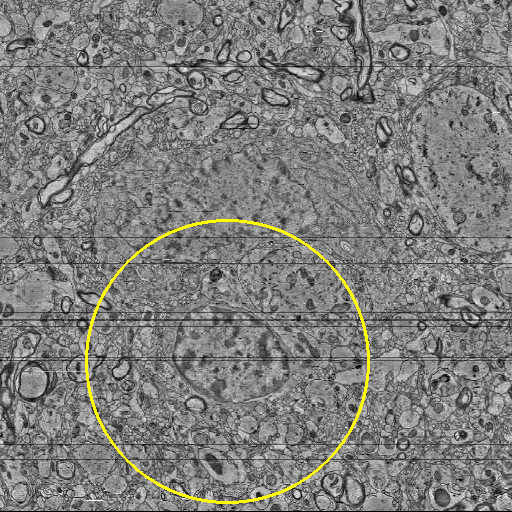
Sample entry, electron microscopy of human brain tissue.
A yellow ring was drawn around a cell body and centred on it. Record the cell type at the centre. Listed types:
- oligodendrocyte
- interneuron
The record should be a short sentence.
The cell at the ring's centre is an oligodendrocyte.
